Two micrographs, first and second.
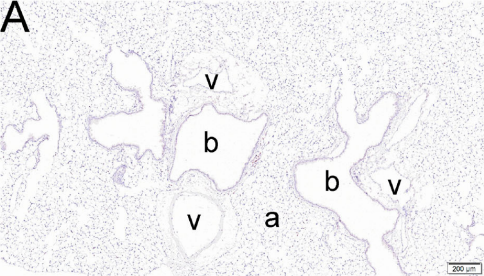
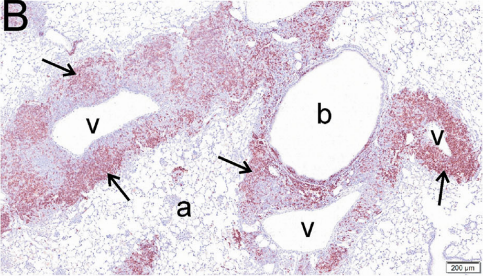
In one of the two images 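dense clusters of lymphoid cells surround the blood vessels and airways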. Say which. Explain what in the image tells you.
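The second image. First image: vessels and airways have thin, clean walls with no red-stained cuffs. Second image: thick red-stained cell cuffs wrap around the vessels and airway.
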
